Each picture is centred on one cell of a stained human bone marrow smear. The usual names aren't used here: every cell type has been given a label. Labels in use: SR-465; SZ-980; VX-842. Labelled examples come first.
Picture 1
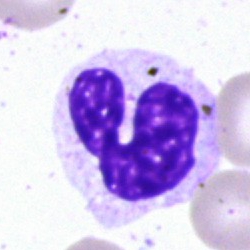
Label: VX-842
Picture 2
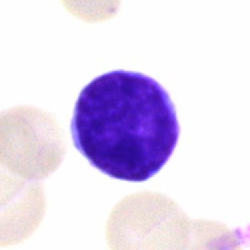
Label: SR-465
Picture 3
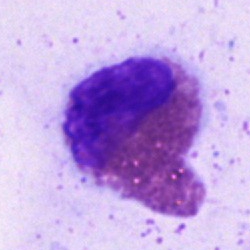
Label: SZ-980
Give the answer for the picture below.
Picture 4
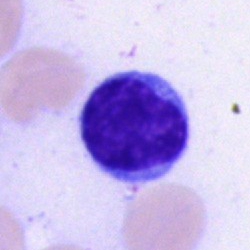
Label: SR-465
